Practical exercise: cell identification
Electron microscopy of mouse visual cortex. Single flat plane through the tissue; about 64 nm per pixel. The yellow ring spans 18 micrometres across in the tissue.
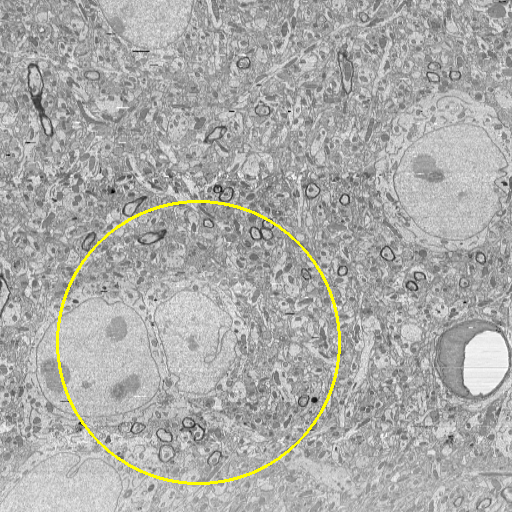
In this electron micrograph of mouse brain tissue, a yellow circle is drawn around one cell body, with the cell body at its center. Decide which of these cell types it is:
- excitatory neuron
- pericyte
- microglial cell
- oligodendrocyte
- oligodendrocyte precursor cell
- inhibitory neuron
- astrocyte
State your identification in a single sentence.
The ringed cell is an inhibitory neuron.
